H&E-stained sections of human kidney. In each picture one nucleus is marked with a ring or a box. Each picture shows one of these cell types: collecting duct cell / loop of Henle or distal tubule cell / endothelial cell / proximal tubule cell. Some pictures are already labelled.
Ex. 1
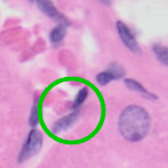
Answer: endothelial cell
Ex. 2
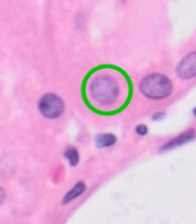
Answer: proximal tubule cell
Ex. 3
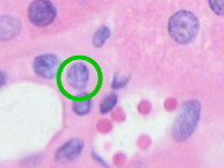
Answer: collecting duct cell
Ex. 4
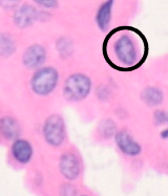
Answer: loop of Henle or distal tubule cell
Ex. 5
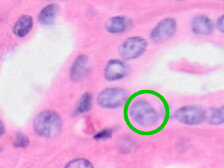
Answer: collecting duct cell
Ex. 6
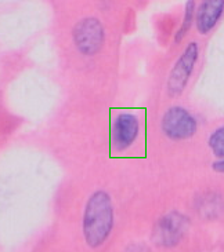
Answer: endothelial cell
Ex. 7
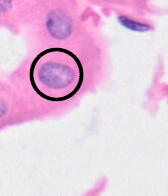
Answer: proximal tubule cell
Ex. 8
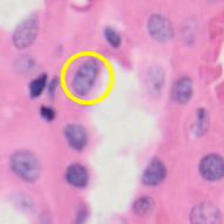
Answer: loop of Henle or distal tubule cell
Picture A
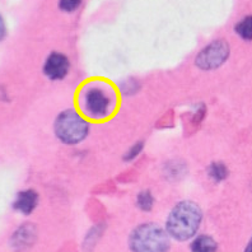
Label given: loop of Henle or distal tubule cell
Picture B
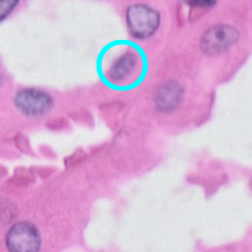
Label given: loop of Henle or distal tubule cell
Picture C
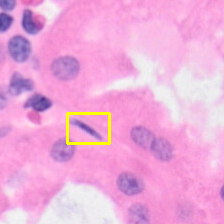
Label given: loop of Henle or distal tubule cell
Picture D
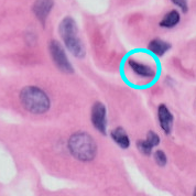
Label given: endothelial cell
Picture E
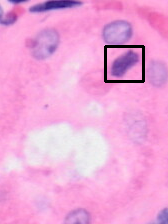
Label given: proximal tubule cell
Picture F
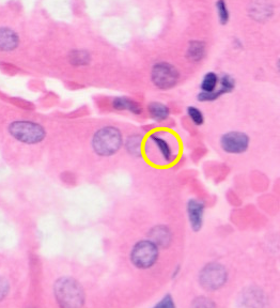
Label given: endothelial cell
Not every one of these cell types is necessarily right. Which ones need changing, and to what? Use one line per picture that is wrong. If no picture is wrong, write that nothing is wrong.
C: endothelial cell, not loop of Henle or distal tubule cell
